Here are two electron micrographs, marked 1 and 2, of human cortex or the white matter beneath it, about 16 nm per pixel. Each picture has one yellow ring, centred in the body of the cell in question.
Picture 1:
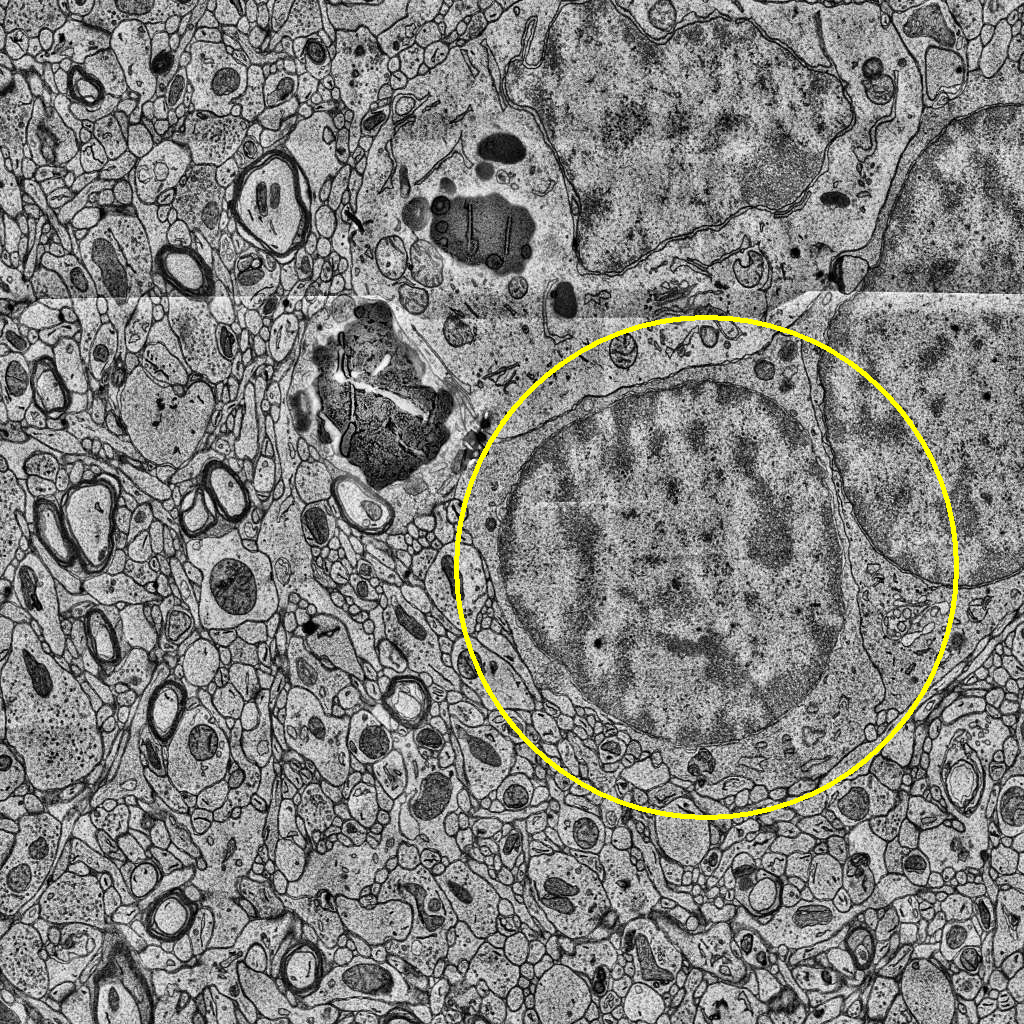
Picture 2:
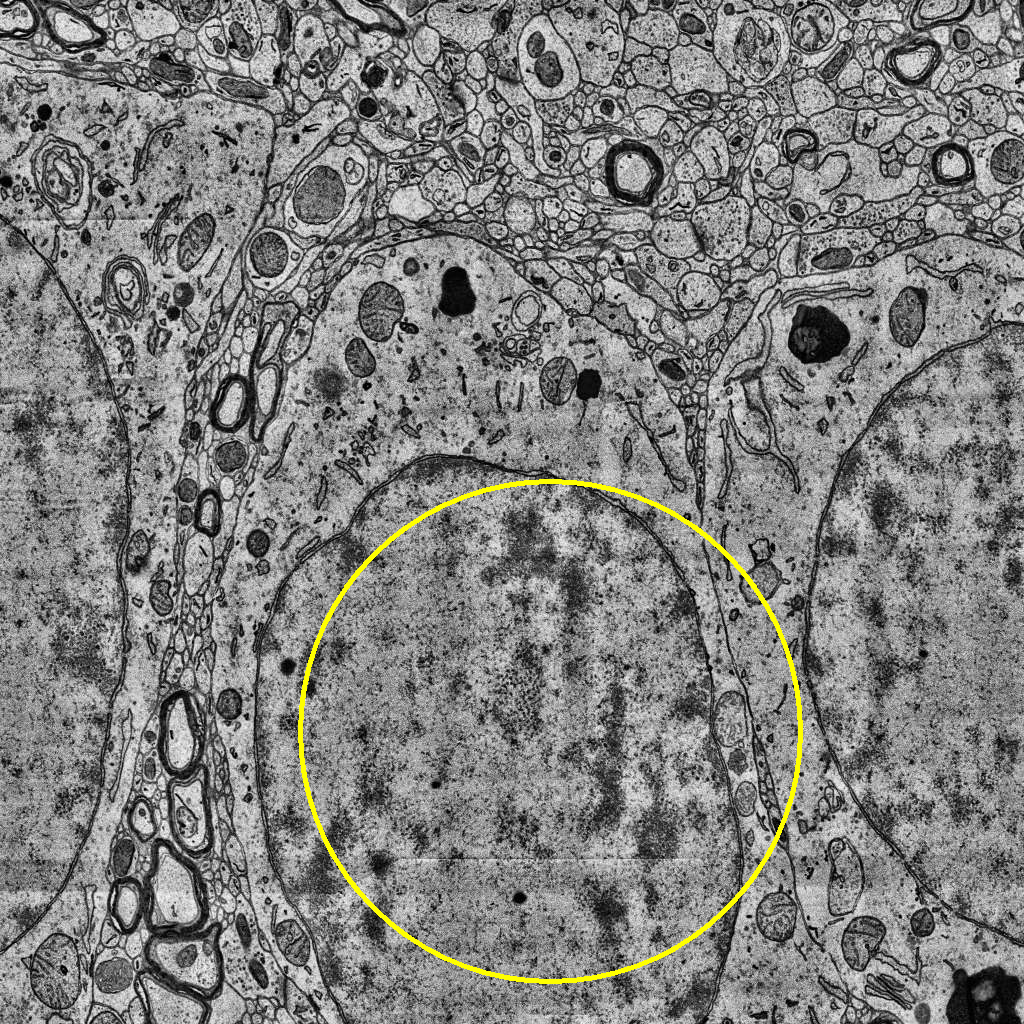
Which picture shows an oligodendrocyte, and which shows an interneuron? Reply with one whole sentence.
Picture 1 is of an oligodendrocyte, and picture 2 is of an interneuron.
